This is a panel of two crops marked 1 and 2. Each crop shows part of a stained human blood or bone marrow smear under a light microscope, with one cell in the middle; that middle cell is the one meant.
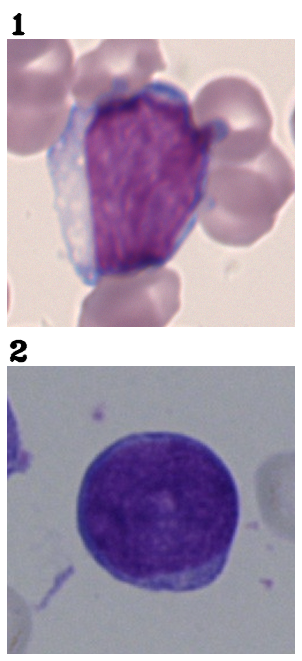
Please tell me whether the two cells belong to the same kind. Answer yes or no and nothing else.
yes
